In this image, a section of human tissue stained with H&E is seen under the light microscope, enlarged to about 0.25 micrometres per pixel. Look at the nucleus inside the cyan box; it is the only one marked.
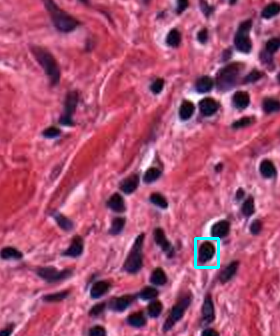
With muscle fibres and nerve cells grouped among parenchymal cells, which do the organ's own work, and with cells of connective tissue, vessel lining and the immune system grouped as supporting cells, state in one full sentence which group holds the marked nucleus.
In the section shown, the marked nucleus belongs to a supporting cell.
